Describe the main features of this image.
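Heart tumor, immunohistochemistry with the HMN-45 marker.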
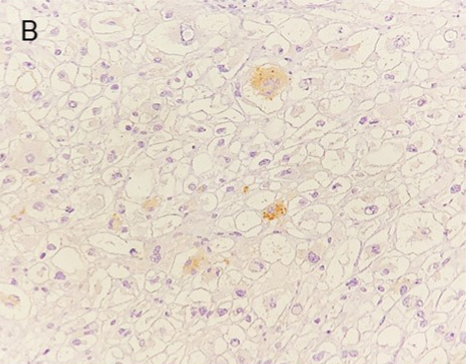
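Small round purple nuclei sit singly in the cells, some centrally, some at the edge. Most of the cells show no brown colour. A few scattered cells hold brown granular material in their cytoplasm. The cells lie closely packed with little tissue between them.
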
